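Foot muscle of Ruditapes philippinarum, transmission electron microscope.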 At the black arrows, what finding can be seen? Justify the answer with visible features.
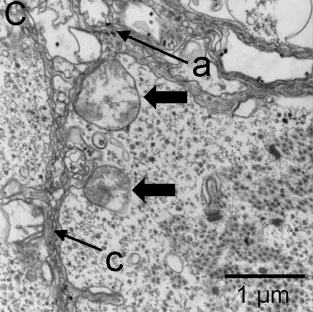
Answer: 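Rounded organelles with pale, patchy interiors. Inner folds are sparse and disordered. On this evidence: mitochondria with collapsed cristae.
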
